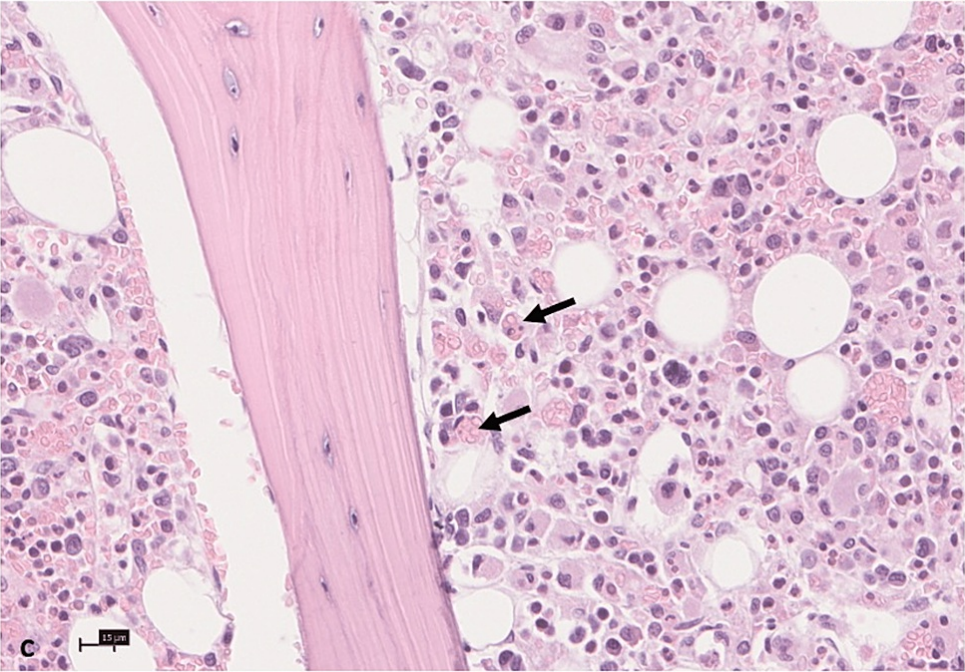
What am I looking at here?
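Bone marrow with hemophagocytic histiocytes among hematopoietic cells. A broad pink lamellar bony trabecula with flattened osteocytes in lacunae crosses the field diagonally. The marrow space beside it is cellular, with round clear fat spaces scattered among densely packed hematopoietic cells with dark round nuclei, and occasional large cells with abundant cytoplasm and large lobulated nuclei resembling megakaryocytes. Several larger cells contain clusters of small round pink red blood cells within their cytoplasm, engulfed erythrocytes typical of hemophagocytosis.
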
